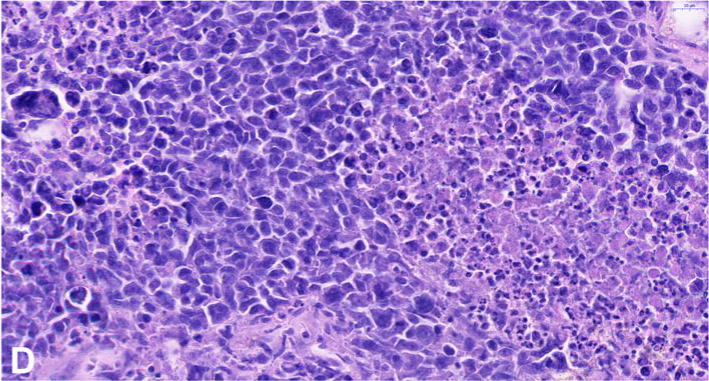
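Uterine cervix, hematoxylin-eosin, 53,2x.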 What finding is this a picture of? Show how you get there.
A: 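Necrosis. On the right, a pink, structureless area with scattered small dark nuclear fragments. Viable pleomorphic tumour cells with large nuclei on the left.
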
